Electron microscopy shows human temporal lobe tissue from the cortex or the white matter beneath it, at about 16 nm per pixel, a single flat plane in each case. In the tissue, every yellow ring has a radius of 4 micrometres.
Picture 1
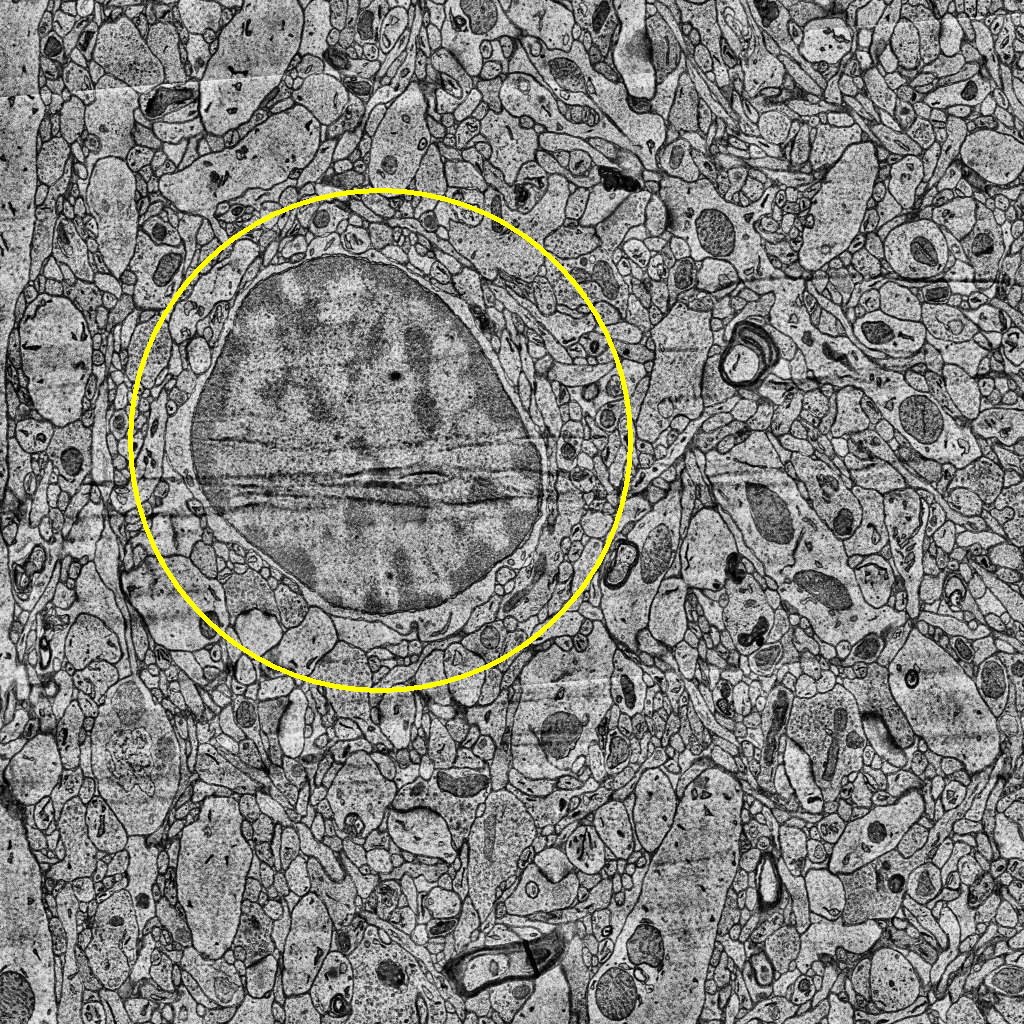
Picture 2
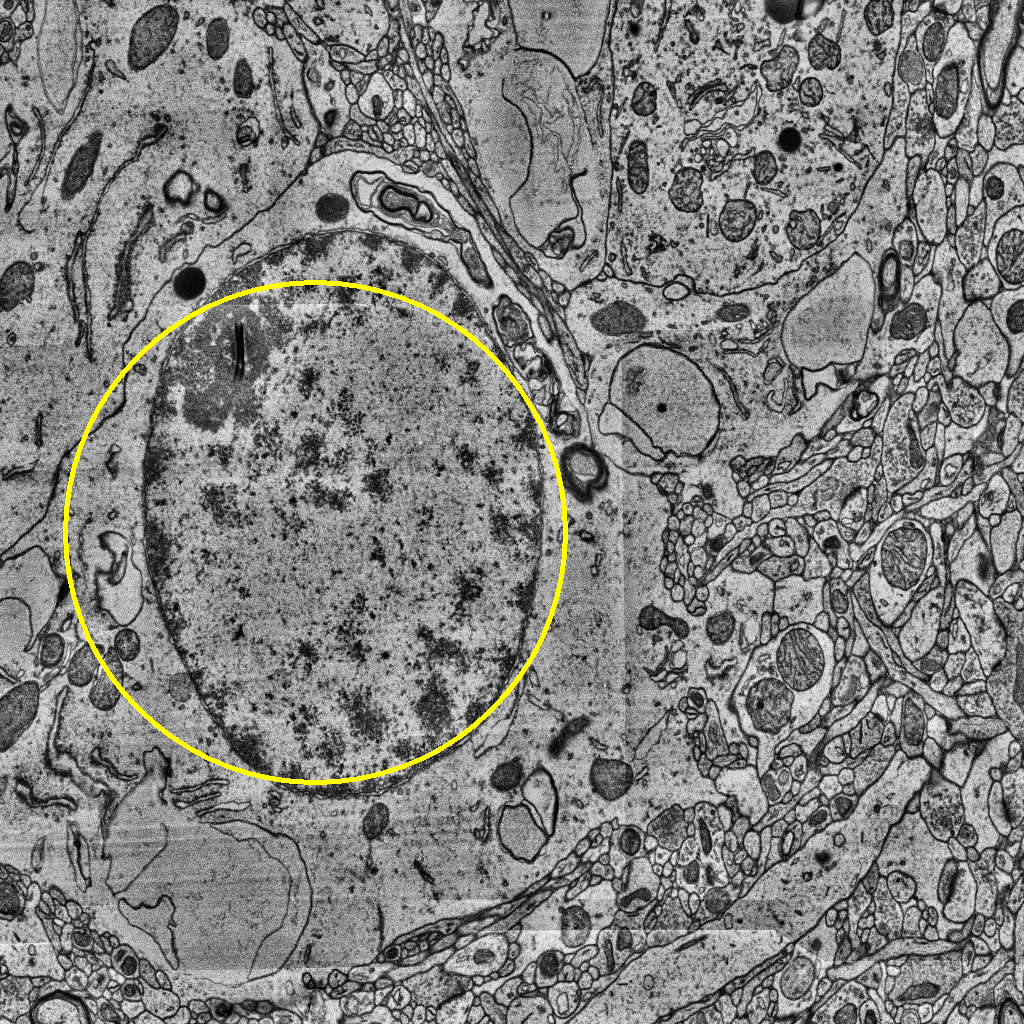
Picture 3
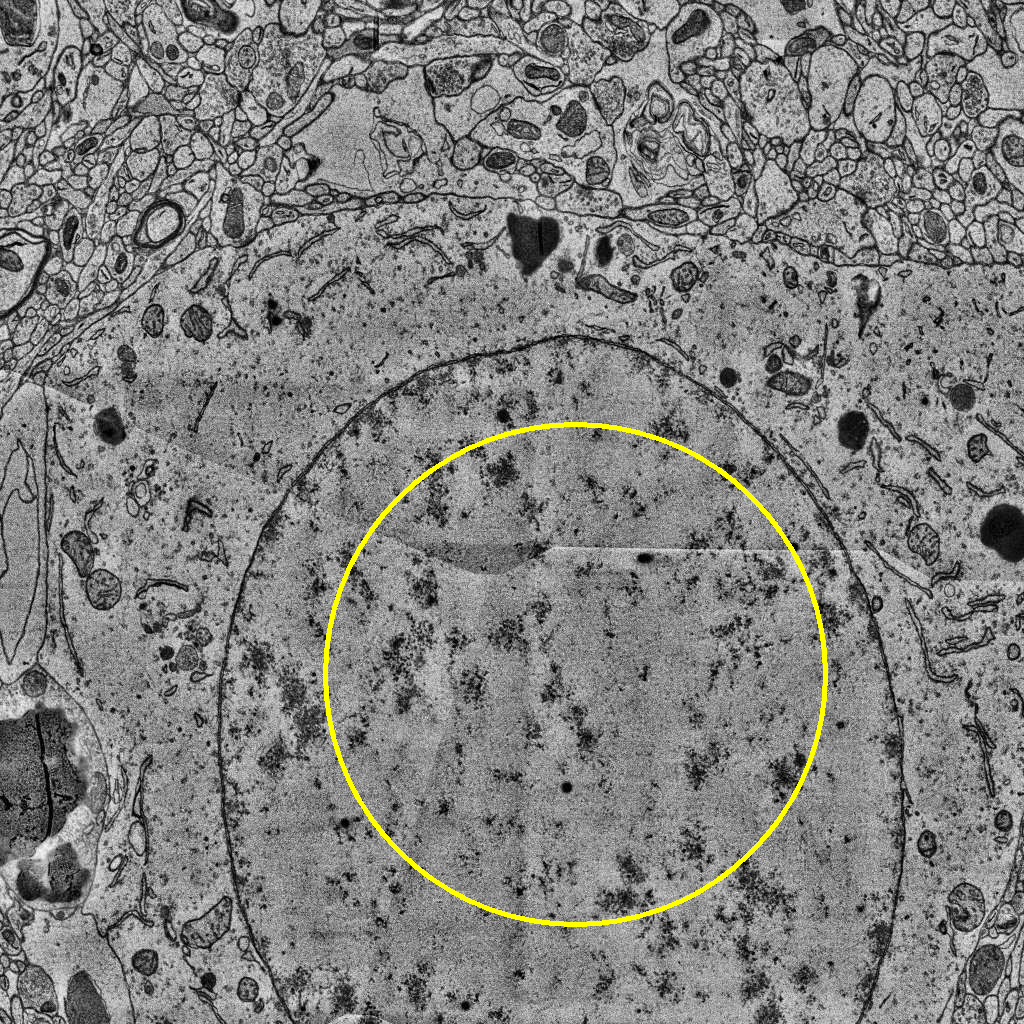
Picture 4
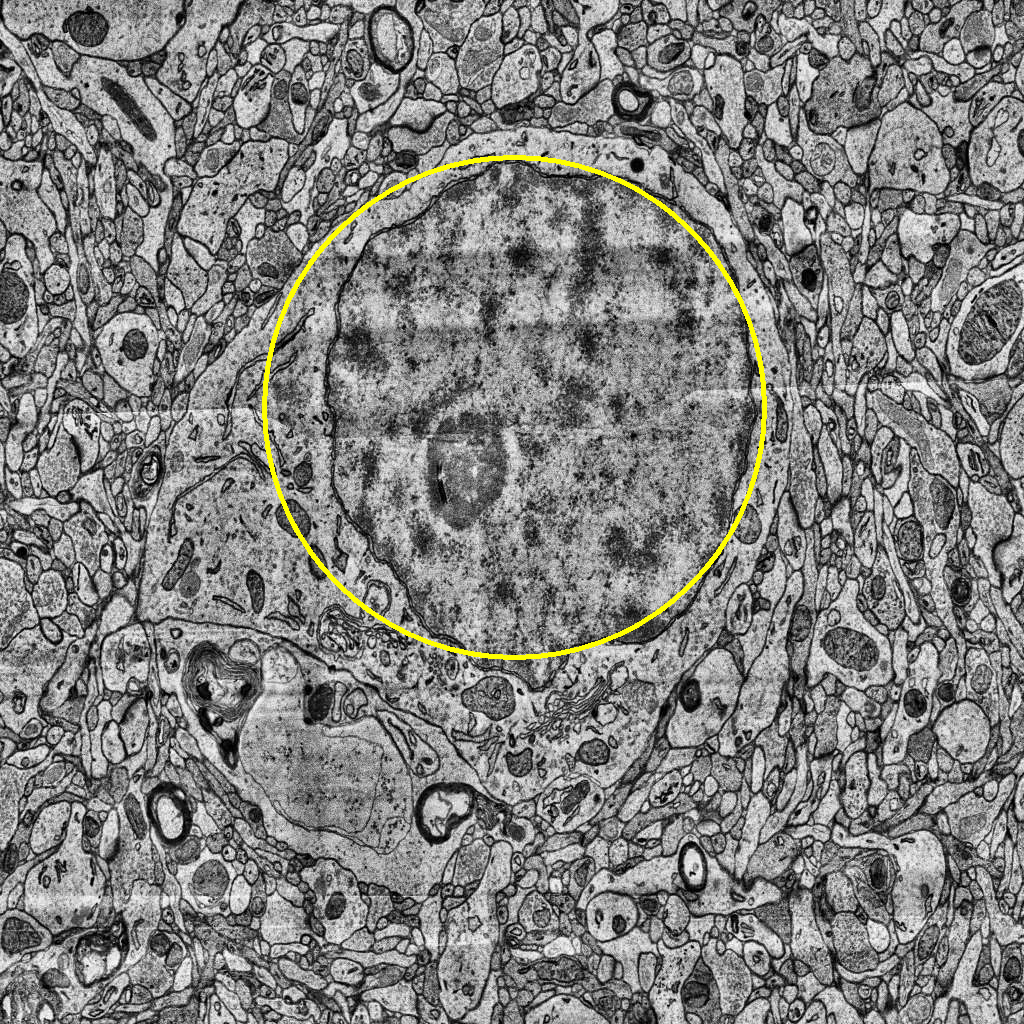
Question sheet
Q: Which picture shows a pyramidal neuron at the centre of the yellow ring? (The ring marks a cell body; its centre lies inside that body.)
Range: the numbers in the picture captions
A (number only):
3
